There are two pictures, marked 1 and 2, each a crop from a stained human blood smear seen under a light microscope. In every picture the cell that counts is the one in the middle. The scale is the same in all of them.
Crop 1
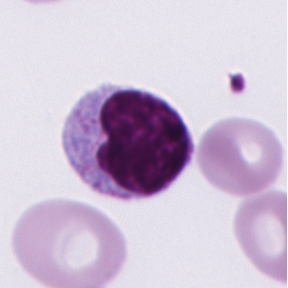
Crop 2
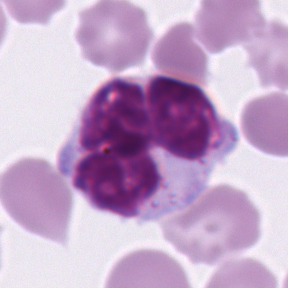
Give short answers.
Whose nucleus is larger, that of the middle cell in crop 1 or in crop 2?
2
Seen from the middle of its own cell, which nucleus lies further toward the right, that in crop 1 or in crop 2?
1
